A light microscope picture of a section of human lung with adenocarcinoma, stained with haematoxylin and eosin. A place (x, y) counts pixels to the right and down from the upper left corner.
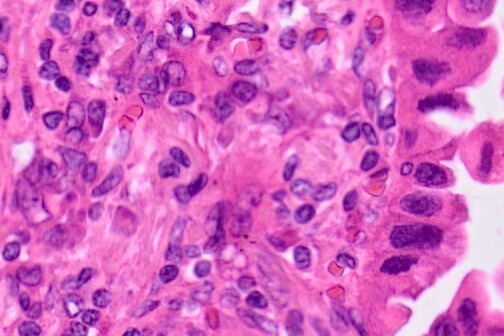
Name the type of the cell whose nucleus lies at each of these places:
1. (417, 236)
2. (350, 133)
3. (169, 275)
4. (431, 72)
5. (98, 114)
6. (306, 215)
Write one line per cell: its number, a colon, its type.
1: carcinoma cell
2: lymphocyte
3: lymphocyte
4: carcinoma cell
5: plasma cell
6: lymphocyte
